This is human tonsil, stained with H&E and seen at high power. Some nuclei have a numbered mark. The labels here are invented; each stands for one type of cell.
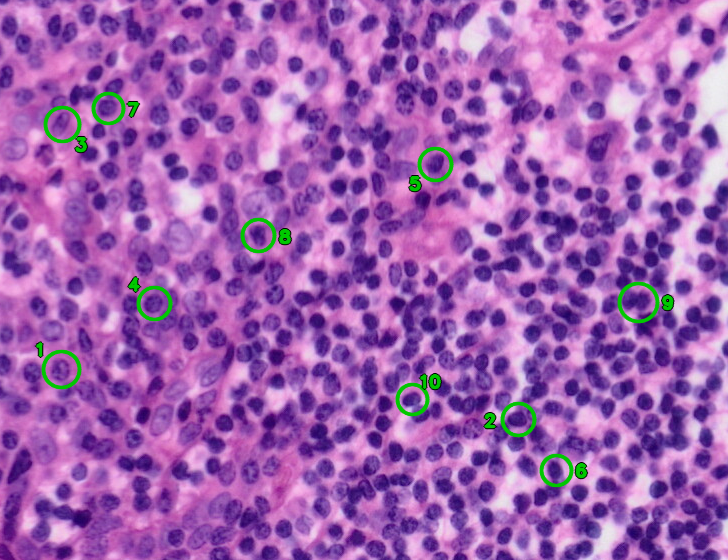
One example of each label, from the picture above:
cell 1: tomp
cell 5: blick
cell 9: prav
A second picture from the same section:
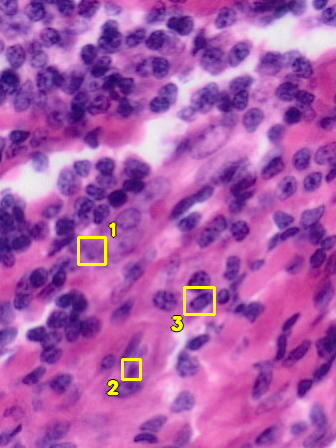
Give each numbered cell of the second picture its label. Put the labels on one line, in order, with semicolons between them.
blick; blick; tomp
